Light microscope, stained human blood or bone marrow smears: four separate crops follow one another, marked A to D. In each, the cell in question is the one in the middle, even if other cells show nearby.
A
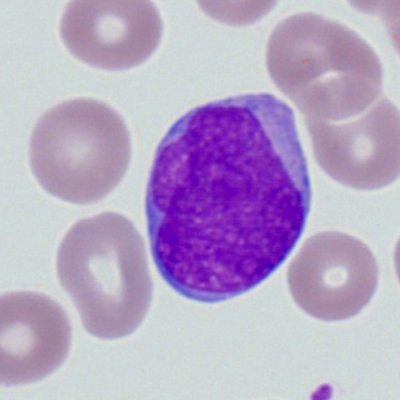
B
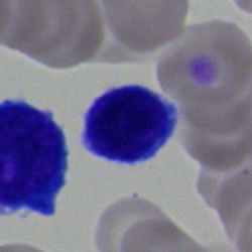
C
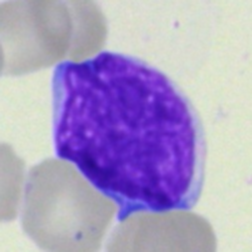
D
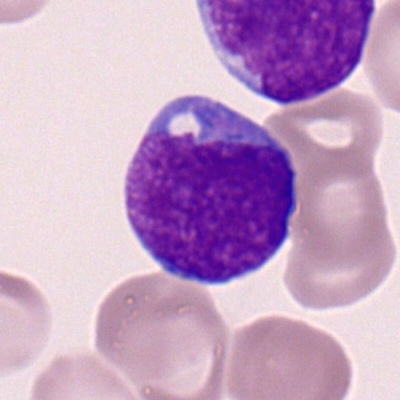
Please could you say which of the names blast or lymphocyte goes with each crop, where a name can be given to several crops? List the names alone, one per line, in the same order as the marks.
blast
lymphocyte
blast
blast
